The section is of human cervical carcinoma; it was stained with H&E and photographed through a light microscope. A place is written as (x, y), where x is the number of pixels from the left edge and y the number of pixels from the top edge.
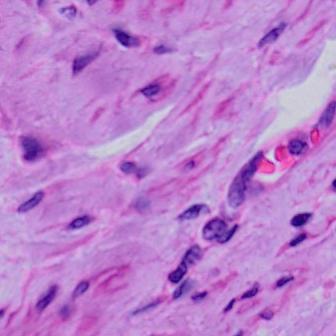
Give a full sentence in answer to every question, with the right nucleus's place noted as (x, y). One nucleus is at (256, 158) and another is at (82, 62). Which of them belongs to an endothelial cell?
Housed in an endothelial cell is the nucleus at (256, 158), not the other one.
